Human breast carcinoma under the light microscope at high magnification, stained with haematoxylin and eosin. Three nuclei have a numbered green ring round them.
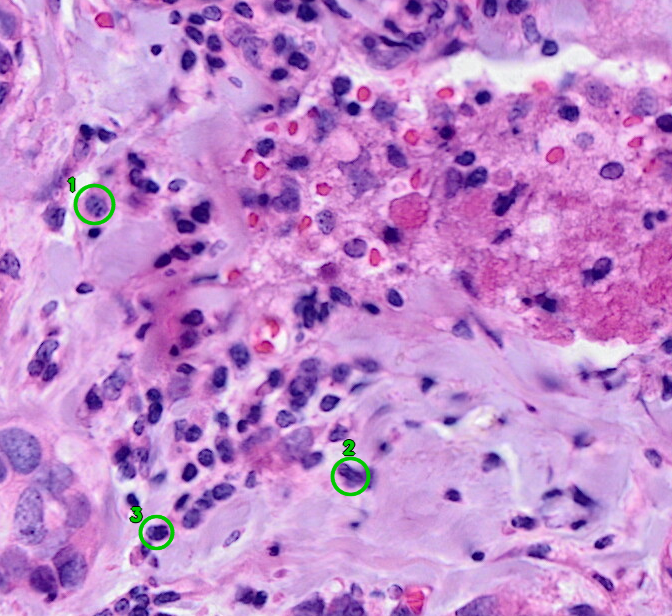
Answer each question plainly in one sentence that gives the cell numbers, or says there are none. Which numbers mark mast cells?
In this set of numbered cells, only cell 1 is a mast cell.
